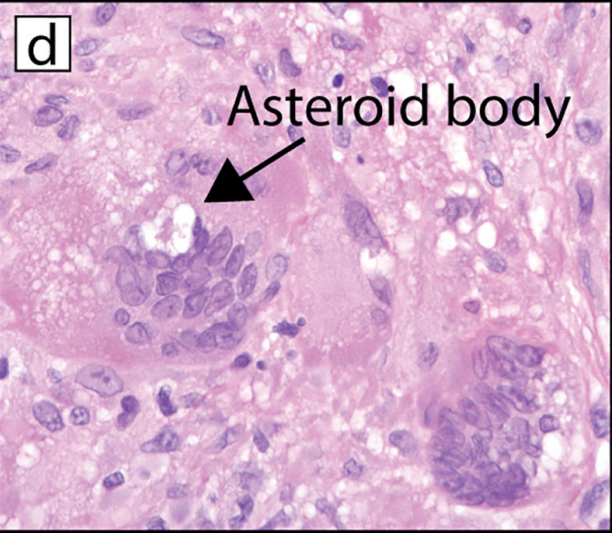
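High-power view of multinucleated giant cells within a granuloma. The giant cells are large, with abundant pale pink cytoplasm that is finely vacuolated. Their many oval nuclei crowd together in clusters within each cell. Clear vacuoles lie within the cytoplasm next to the nuclear clusters. Surrounding cells have pale cytoplasm and oval nuclei.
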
